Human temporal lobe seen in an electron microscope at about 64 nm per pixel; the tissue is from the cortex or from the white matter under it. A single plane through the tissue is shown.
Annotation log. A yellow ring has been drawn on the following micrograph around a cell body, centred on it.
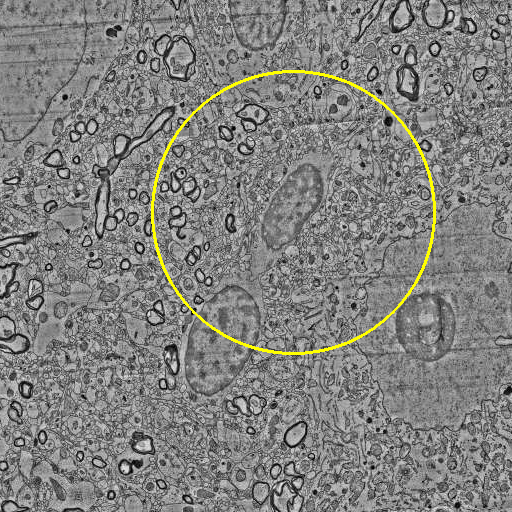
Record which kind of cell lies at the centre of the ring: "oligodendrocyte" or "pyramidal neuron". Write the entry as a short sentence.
The cell the ring is centred on is an oligodendrocyte.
